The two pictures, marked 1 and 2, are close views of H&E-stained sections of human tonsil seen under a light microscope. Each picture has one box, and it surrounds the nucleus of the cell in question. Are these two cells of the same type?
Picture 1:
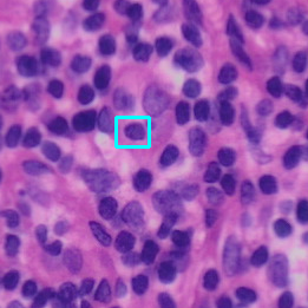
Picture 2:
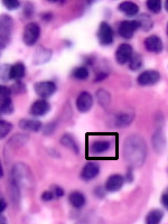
yes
